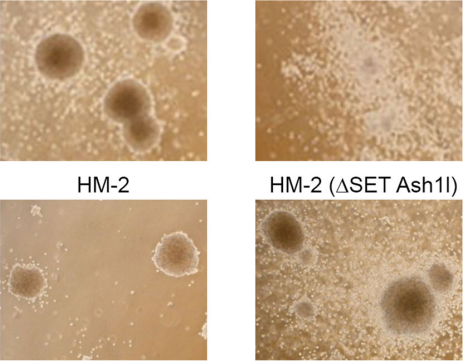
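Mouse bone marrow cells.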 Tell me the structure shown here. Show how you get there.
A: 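Colonies. Round dense dark clusters of cells stand out against the background. Scattered single small cells surround the clusters.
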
